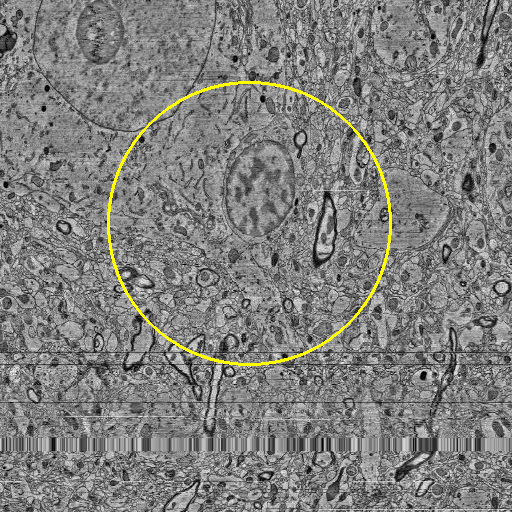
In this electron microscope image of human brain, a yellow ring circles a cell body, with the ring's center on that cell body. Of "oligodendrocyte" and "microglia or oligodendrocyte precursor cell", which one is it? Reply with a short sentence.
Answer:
It is an oligodendrocyte at the center of the ring.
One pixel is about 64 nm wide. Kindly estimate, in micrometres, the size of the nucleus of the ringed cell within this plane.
In this plane the nucleus measures roughly 6 by 5 micrometres.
